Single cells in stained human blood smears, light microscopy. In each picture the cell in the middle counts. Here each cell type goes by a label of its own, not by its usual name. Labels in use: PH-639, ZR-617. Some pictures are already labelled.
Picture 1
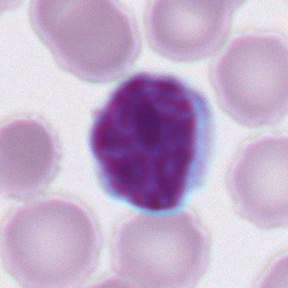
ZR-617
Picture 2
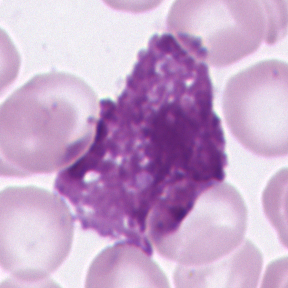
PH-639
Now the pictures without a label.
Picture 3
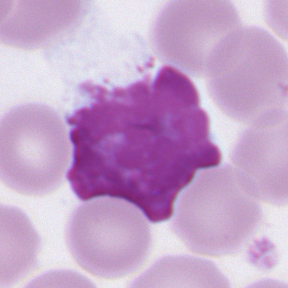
PH-639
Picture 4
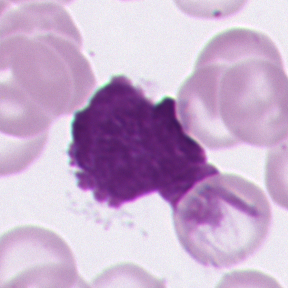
PH-639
